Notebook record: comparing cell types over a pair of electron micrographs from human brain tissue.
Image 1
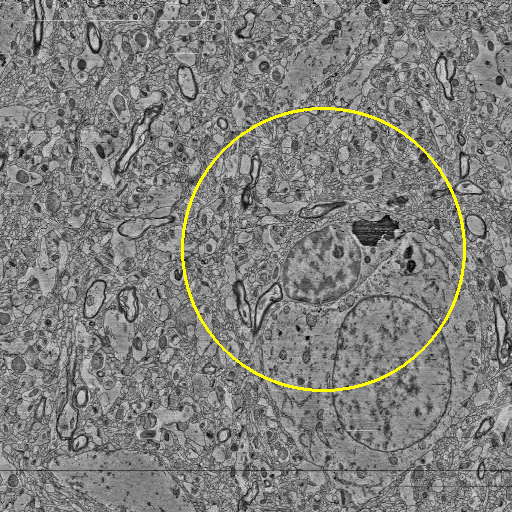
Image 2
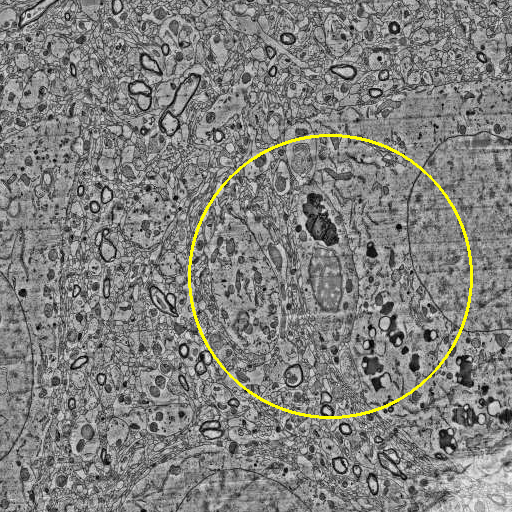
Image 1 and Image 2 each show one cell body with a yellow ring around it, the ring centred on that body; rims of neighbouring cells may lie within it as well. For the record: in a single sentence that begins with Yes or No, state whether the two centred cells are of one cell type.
Yes, one cell type is shared by the centred cells of Image 1 and Image 2.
